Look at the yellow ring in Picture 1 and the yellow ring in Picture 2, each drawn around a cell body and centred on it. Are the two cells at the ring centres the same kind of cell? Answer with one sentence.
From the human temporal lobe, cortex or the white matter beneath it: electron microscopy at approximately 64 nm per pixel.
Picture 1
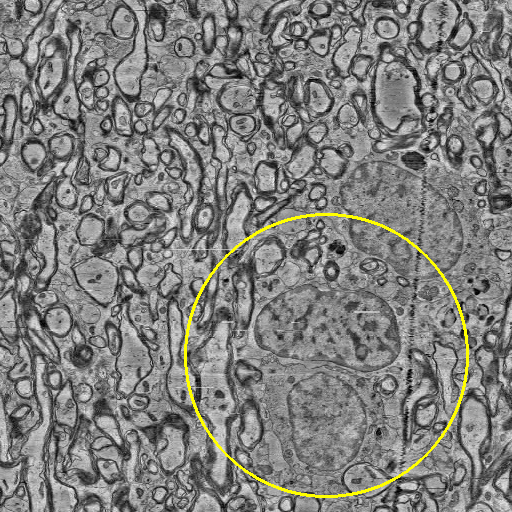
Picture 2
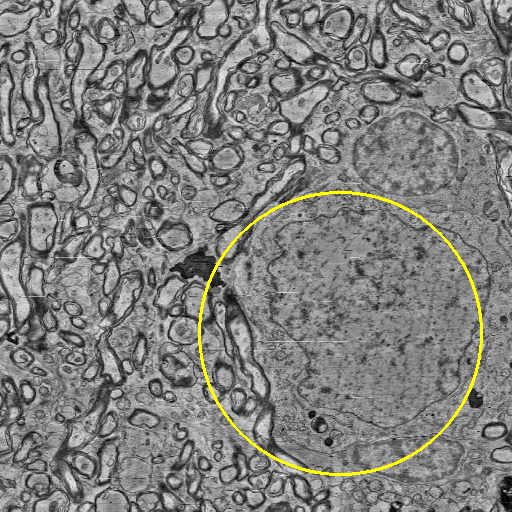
No, they are cells of two kinds.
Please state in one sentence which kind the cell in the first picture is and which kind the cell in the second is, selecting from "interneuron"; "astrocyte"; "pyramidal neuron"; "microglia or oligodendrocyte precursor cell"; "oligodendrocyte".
The first ringed cell is a microglial cell or oligodendrocyte precursor cell, the second ringed cell a pyramidal neuron.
